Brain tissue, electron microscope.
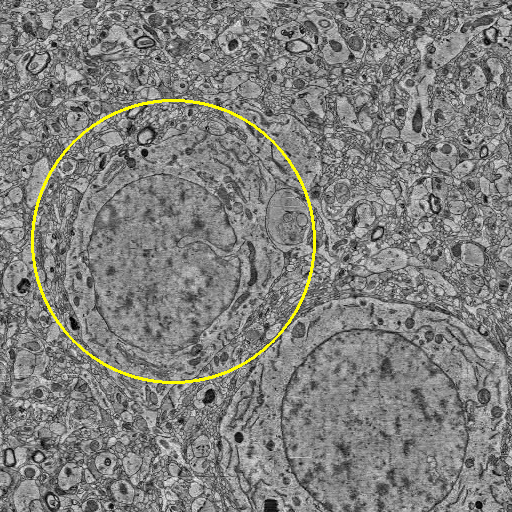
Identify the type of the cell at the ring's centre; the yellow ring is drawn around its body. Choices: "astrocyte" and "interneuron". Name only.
interneuron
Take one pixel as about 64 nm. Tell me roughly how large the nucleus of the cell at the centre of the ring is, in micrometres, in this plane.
In this plane, roughly 12 by 10 micrometres.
